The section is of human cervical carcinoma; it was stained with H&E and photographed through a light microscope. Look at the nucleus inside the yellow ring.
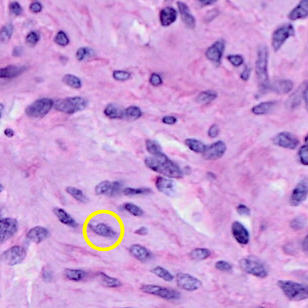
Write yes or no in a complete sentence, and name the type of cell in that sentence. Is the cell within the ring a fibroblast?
No, mark the cell within the ring as a smooth muscle cell, not as a fibroblast.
